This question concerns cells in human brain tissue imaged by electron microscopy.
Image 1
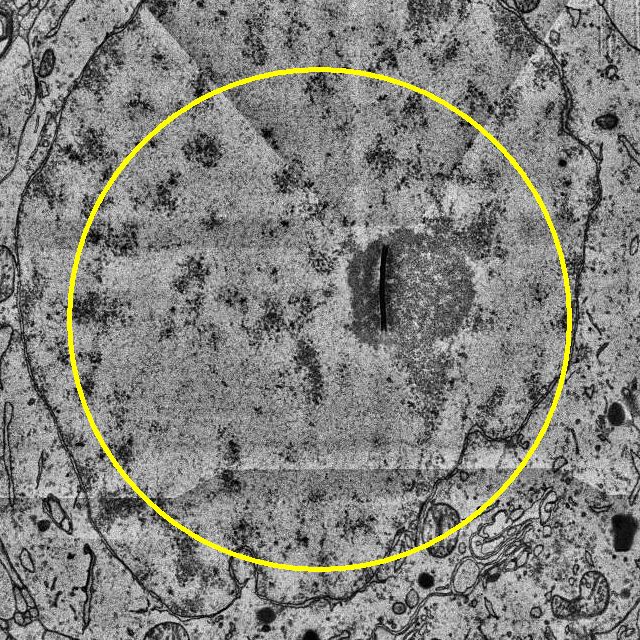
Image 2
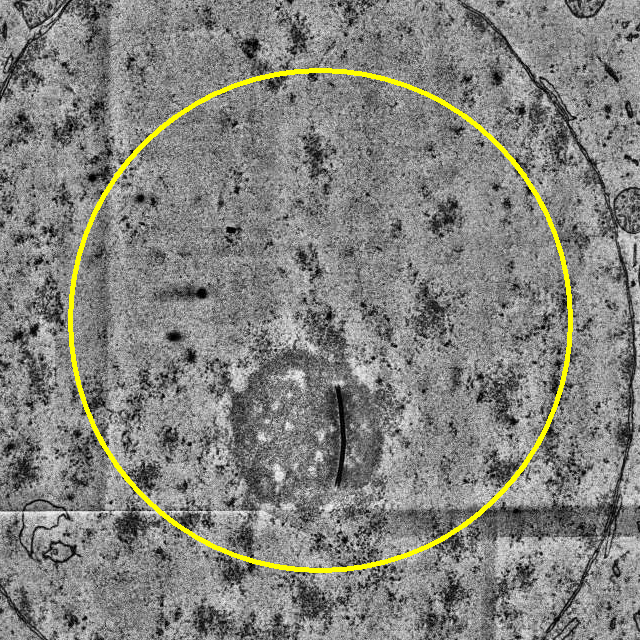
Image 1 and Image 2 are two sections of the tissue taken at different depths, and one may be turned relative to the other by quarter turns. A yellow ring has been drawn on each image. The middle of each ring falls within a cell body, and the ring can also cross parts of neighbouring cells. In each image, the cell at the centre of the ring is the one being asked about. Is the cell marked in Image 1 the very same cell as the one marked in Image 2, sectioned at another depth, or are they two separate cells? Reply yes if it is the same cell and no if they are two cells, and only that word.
no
